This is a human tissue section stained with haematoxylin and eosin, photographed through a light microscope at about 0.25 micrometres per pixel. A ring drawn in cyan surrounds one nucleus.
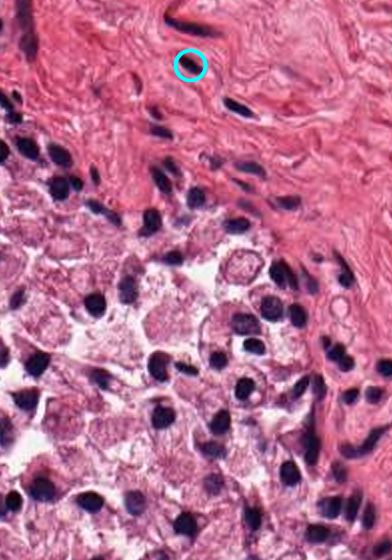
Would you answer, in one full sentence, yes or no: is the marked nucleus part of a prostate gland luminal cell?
No, it is to a supporting cell that the marked nucleus belongs, not to a prostate gland luminal cell.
